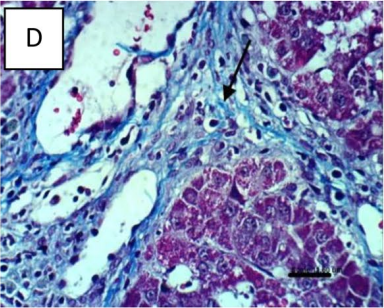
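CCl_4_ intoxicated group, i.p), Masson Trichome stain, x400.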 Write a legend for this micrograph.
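This is liver at high power with a broad band of fibrous tissue lying between patches of liver cells. The band is made of wavy blue-green fibers packed with many small dark, elongated and rounded nuclei. Several empty, thin-walled vessel spaces lie within the fibrous area. To the lower right, liver cells stain red-purple with round nuclei, and some look pale or disrupted near the band. The amount of blue-green fiber here is far more than the thin rim normally seen around a portal area.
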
